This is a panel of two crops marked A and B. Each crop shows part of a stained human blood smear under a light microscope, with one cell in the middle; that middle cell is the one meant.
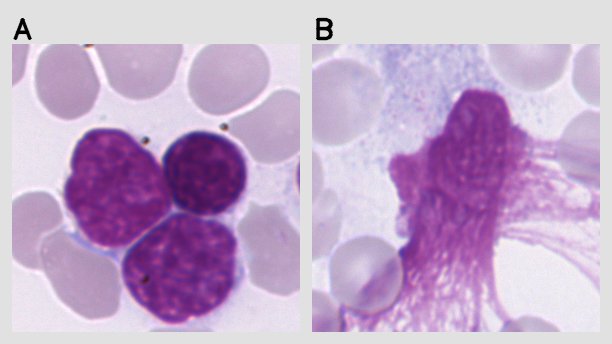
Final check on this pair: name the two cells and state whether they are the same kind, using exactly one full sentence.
No, at the centre of crop A is a myeloblast, and at the centre of crop B is a smudge cell.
